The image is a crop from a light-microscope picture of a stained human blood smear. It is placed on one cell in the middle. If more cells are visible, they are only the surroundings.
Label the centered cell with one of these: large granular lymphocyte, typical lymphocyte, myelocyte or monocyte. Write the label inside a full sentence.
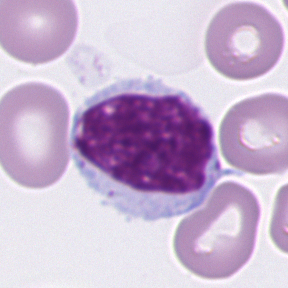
In the crop, the cell of interest at the centre is a large granular lymphocyte.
